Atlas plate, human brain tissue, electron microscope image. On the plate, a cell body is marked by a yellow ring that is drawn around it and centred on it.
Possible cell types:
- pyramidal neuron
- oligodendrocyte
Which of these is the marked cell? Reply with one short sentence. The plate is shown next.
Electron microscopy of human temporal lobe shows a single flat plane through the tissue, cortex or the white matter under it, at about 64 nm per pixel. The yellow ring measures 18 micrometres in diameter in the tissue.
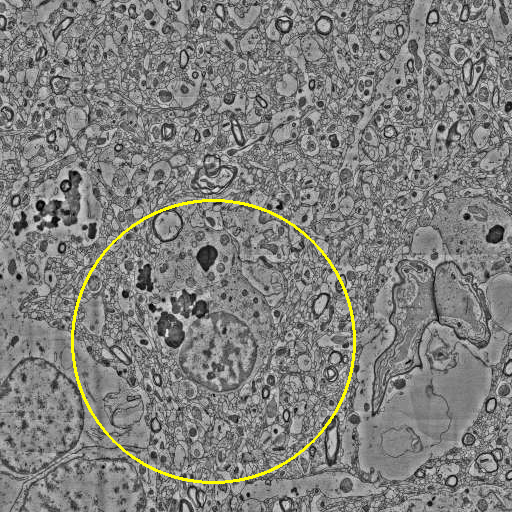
The marked cell is an oligodendrocyte.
